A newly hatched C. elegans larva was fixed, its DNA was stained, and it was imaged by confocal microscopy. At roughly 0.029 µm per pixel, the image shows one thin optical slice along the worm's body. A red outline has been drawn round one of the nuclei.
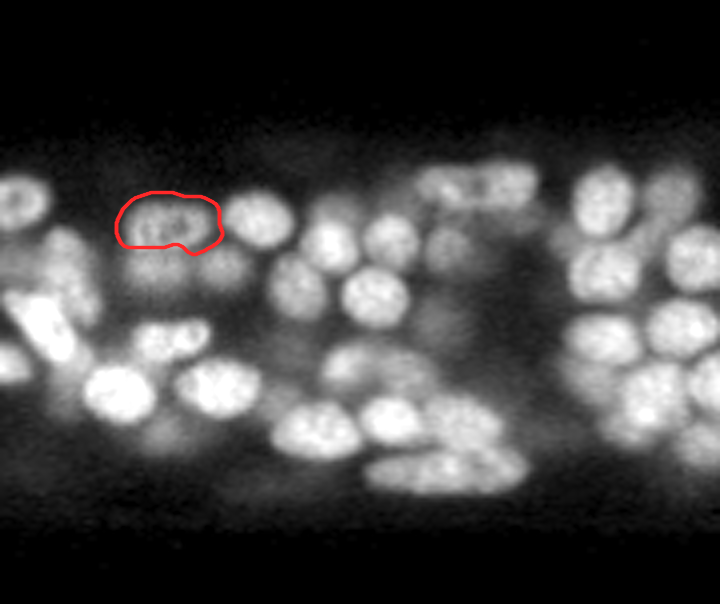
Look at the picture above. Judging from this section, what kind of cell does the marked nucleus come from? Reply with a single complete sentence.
What is marked is the nucleus of a body wall muscle cell.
